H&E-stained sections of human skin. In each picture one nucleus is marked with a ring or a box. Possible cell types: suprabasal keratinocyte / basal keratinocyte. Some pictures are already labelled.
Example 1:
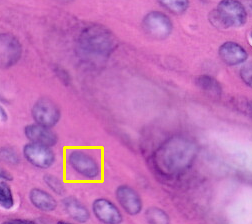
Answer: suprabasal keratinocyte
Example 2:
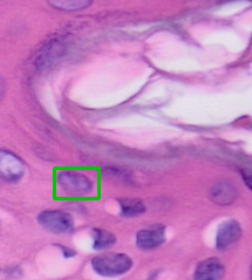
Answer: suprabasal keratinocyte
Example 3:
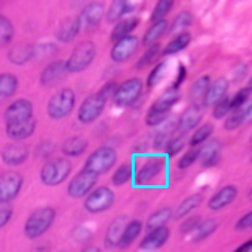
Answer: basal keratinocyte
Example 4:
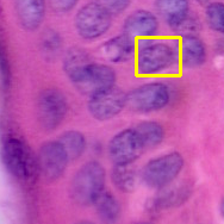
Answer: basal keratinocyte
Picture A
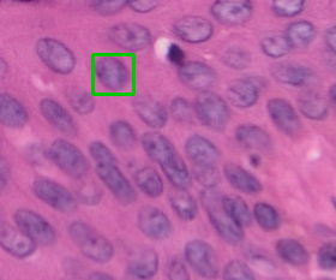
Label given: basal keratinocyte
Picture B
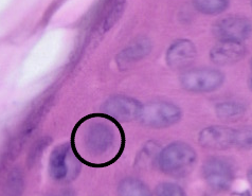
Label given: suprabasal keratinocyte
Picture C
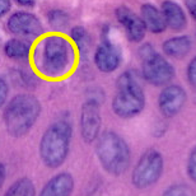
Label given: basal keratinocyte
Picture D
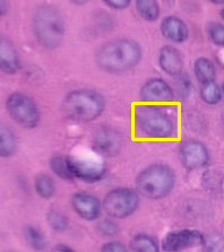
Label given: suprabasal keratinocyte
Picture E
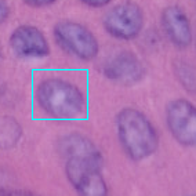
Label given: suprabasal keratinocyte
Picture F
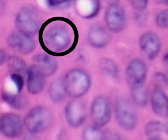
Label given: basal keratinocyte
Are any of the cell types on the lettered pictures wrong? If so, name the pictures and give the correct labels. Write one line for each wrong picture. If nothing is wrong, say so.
A: suprabasal keratinocyte, not basal keratinocyte
F: suprabasal keratinocyte, not basal keratinocyte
